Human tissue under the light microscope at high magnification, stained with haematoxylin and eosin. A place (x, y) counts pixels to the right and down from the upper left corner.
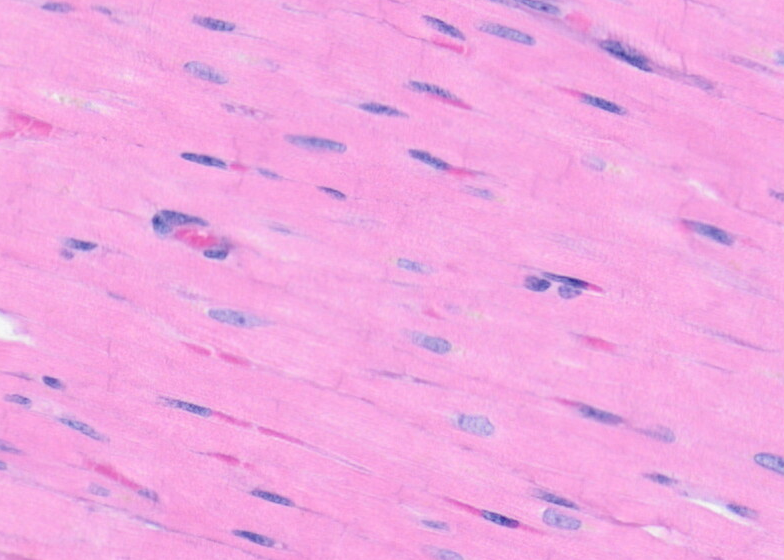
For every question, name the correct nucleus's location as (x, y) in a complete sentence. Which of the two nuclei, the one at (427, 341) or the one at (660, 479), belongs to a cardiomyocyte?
Only the nucleus at (427, 341), of the two, belongs to a cardiomyocyte.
